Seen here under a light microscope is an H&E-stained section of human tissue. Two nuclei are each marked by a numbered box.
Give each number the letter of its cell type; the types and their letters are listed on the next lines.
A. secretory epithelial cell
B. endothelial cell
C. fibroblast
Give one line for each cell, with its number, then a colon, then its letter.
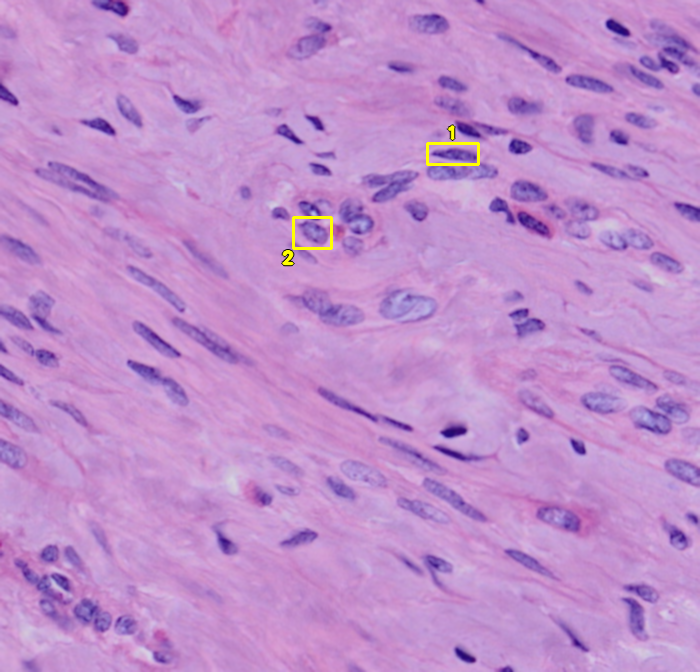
1: C
2: B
